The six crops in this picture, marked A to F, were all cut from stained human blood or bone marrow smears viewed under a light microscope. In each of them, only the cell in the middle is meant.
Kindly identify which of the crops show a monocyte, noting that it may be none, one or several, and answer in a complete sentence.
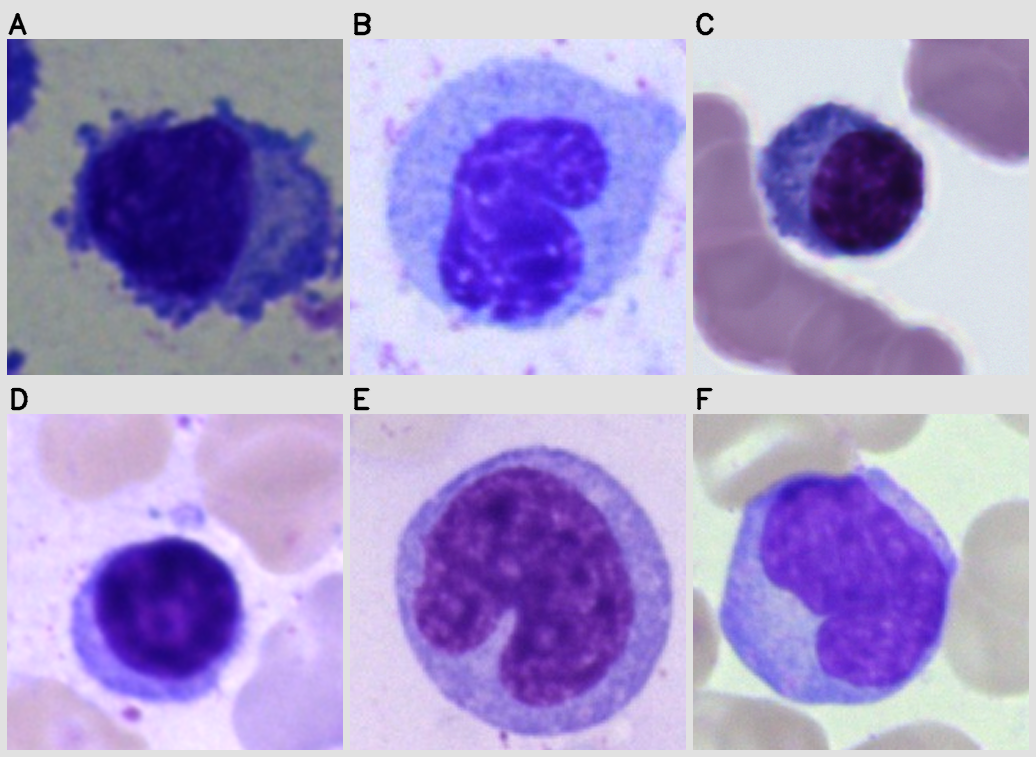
The central cells of crops B, E and F fall into the category of monocytes.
